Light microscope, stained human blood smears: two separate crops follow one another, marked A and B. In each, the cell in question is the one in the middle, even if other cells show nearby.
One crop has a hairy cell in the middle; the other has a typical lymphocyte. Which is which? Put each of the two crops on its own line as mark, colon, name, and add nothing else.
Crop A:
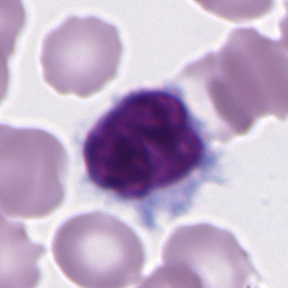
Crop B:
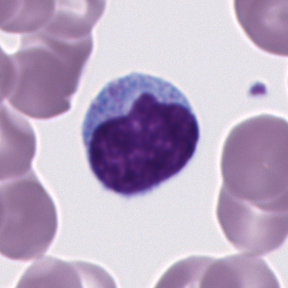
A: hairy cell
B: typical lymphocyte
